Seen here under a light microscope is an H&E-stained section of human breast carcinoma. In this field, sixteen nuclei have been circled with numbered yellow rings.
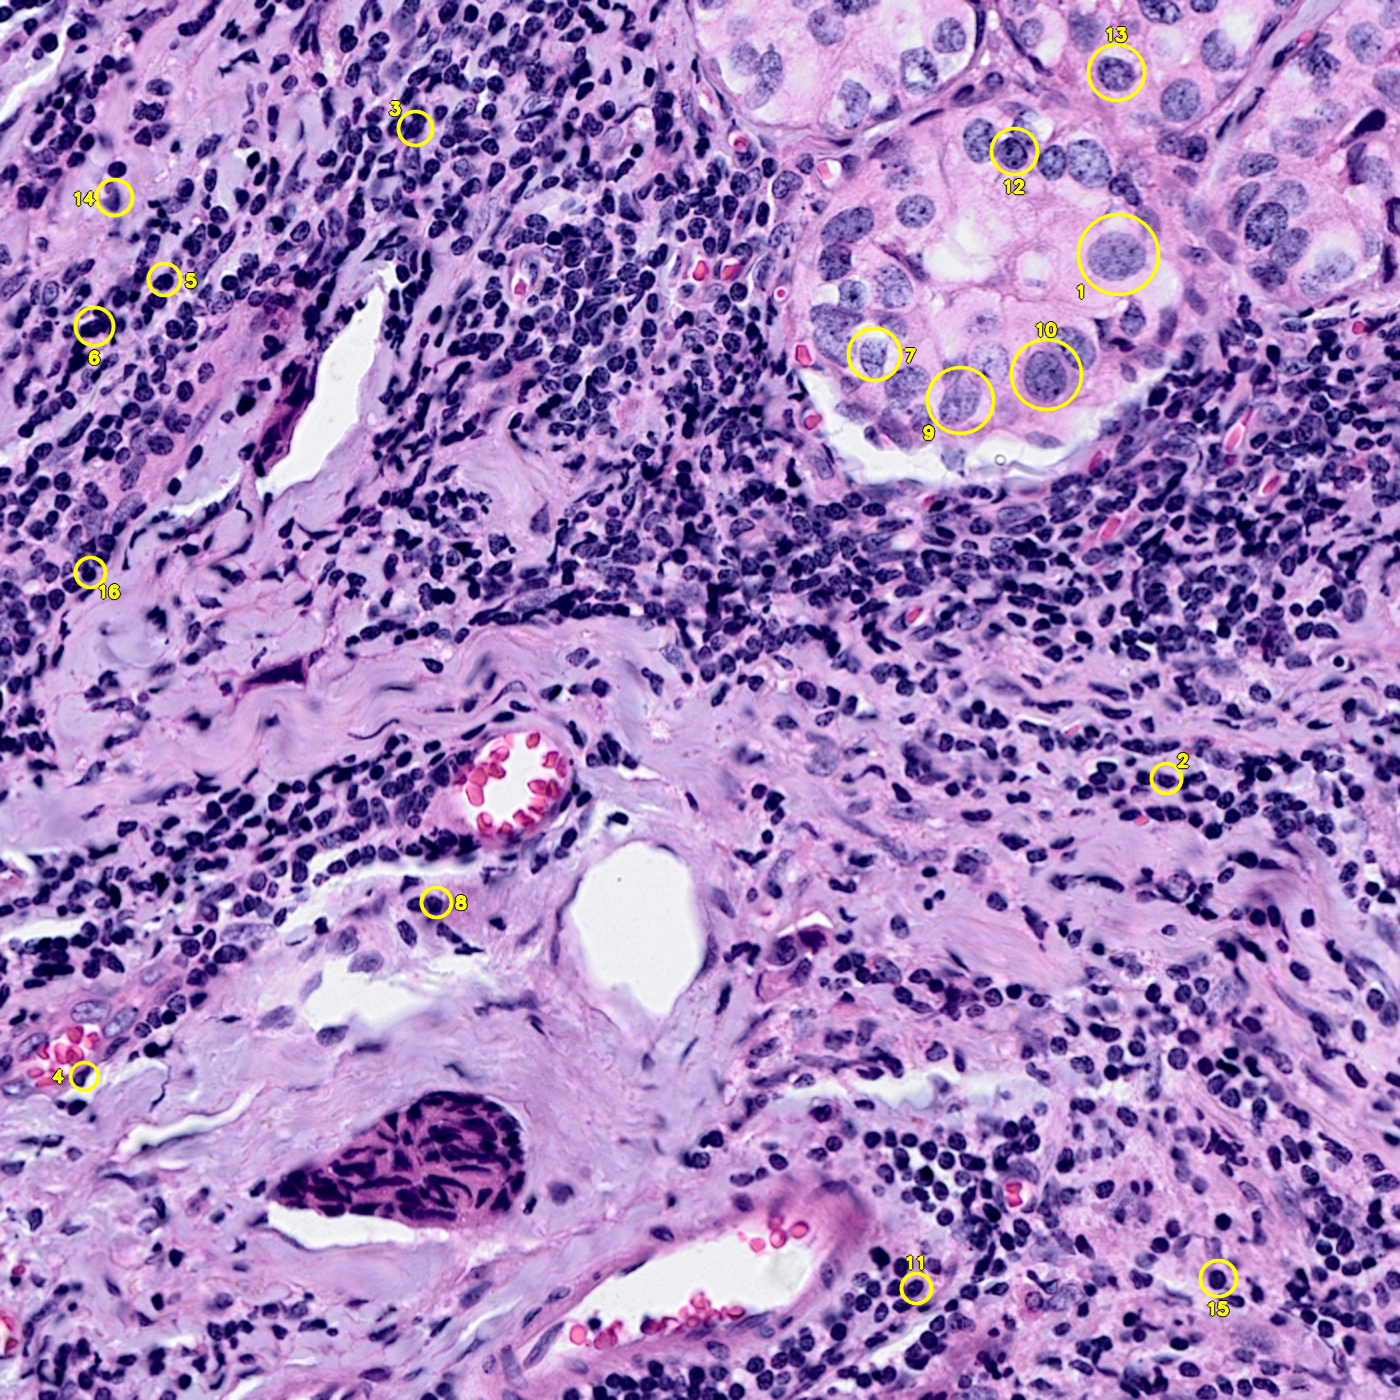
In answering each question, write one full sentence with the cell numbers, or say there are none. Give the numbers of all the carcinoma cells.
The cells that have been numbered 1, 7, 9, 10, 12 and 13 are carcinoma cells.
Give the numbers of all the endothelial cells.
Only the cell numbered 4 is an endothelial cell; none of the others is.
